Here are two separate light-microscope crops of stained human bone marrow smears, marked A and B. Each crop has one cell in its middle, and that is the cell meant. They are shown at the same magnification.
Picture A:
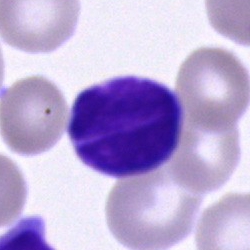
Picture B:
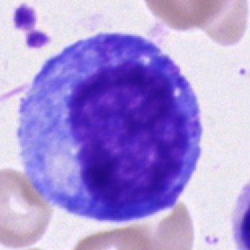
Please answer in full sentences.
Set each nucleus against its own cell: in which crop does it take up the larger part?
In picture A the nucleus takes up the larger part of its cell.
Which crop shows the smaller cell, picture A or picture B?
Picture A holds the smaller cell, since the cell in picture B covers about 2.5 times as much area.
